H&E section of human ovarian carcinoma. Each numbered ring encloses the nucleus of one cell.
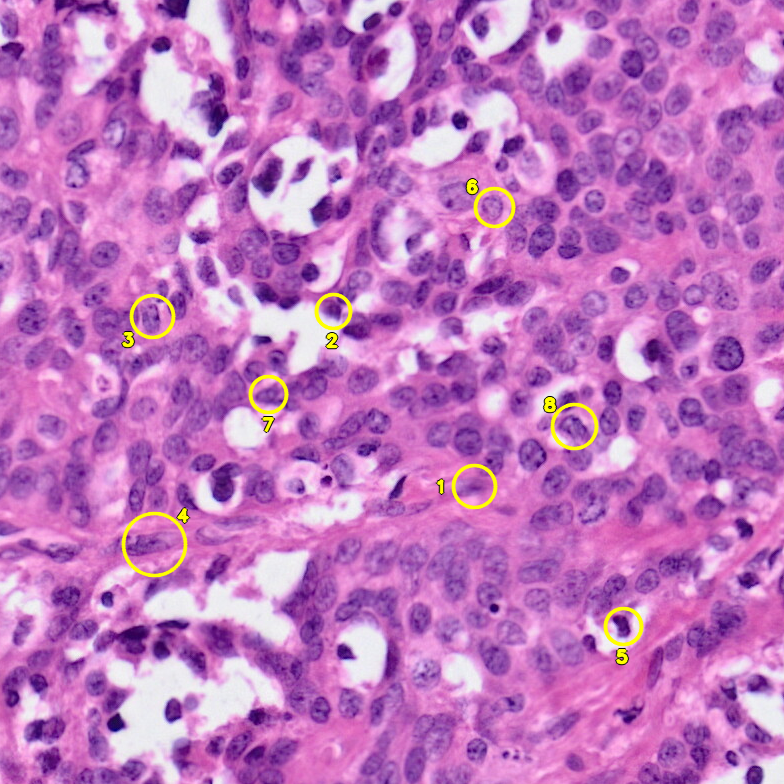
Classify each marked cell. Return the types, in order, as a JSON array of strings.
["endothelial cell", "carcinoma cell", "macrophage or monocyte", "endothelial cell", "carcinoma cell", "macrophage or monocyte", "macrophage or monocyte", "macrophage or monocyte"]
